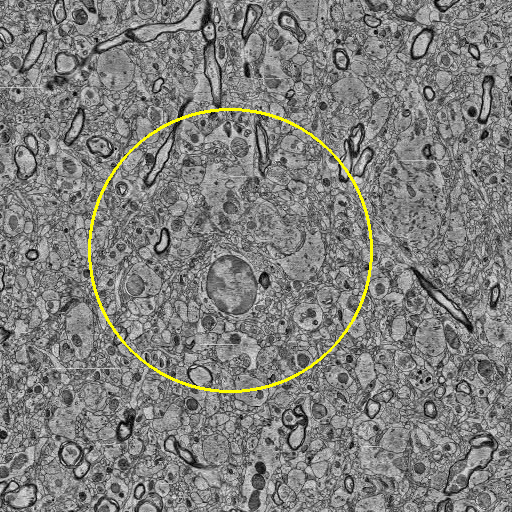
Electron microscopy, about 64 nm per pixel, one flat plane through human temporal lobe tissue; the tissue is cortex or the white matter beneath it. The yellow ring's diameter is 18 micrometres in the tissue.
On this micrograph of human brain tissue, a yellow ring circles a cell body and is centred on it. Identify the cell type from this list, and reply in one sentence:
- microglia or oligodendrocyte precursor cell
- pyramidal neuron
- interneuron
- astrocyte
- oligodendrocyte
The cell at the centre is a microglial cell or oligodendrocyte precursor cell.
